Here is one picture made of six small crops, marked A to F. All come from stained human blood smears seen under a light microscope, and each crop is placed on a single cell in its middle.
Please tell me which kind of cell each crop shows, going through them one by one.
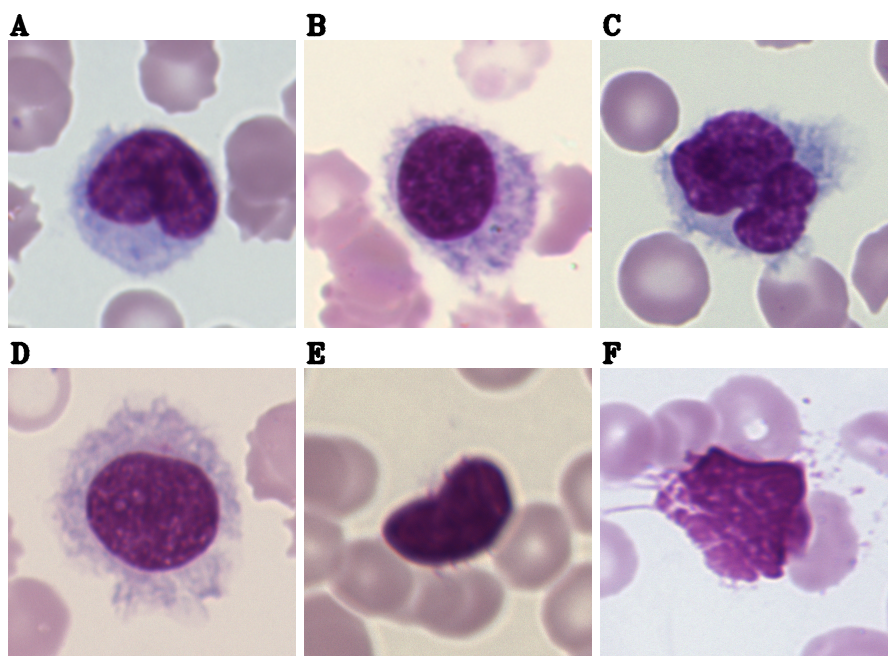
A: hairy cell
B: hairy cell
C: hairy cell
D: hairy cell
E: smudge cell
F: smudge cell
